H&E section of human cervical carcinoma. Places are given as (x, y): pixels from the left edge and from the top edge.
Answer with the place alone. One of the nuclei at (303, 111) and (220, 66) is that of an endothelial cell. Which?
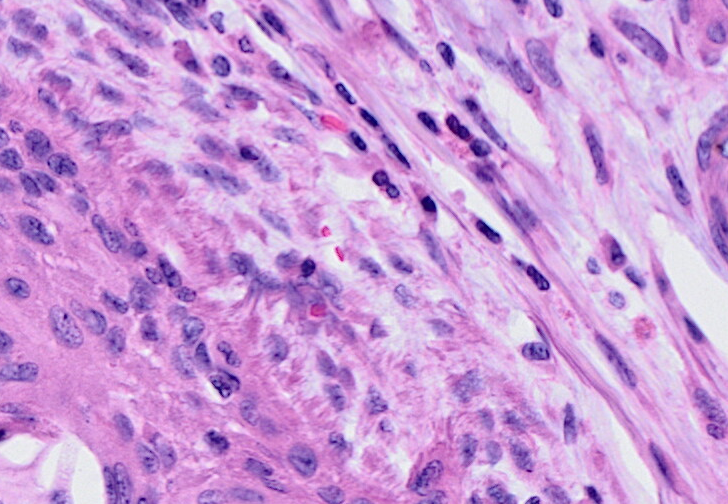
(303, 111)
